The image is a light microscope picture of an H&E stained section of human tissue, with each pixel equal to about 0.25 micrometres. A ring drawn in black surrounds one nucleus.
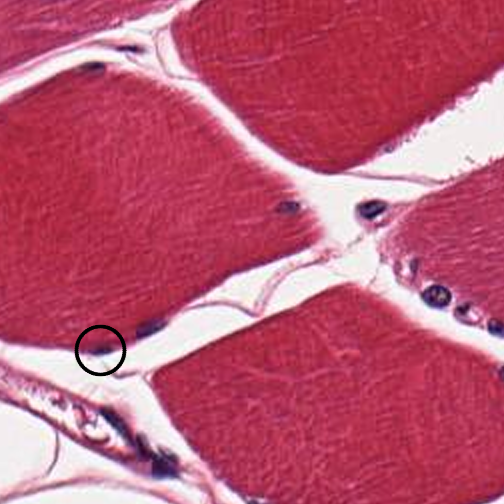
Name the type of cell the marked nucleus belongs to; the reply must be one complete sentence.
As shown here, the nucleus that is marked is that of a skeletal muscle fibre.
